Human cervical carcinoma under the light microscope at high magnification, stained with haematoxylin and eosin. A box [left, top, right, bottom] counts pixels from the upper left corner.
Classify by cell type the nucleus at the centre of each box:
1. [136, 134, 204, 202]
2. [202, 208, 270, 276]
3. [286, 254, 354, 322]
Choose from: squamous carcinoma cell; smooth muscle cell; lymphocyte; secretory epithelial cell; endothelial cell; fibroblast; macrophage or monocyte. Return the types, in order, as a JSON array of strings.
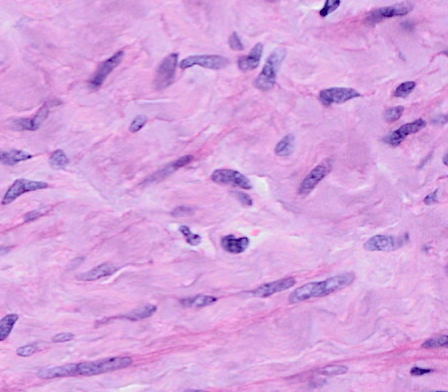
["smooth muscle cell", "lymphocyte", "smooth muscle cell"]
